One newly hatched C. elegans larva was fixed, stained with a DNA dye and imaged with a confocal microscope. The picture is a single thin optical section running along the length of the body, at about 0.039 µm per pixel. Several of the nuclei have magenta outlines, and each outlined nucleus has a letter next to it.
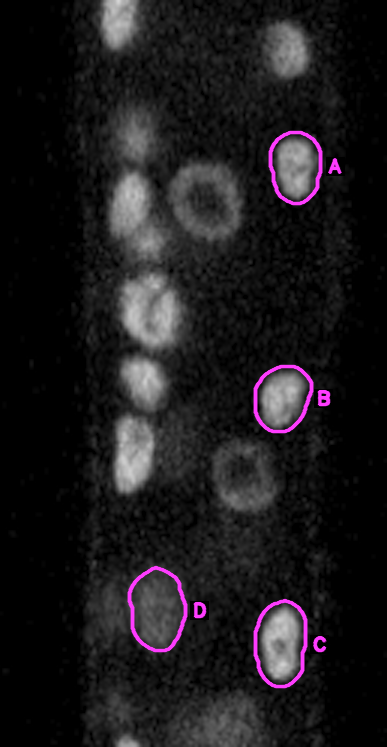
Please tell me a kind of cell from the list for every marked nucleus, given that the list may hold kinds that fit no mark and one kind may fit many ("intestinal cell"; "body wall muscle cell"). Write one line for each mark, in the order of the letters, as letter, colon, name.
A: body wall muscle cell
B: body wall muscle cell
C: body wall muscle cell
D: intestinal cell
